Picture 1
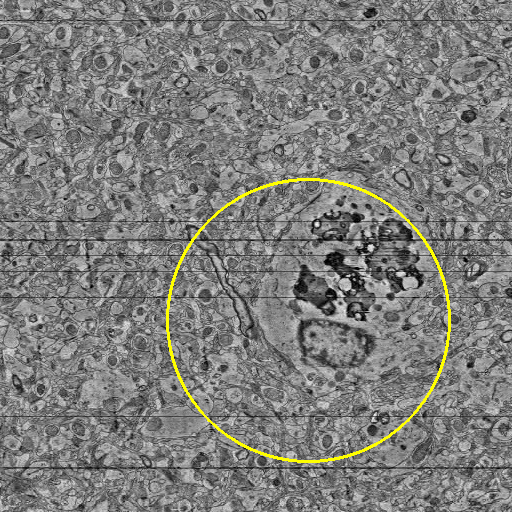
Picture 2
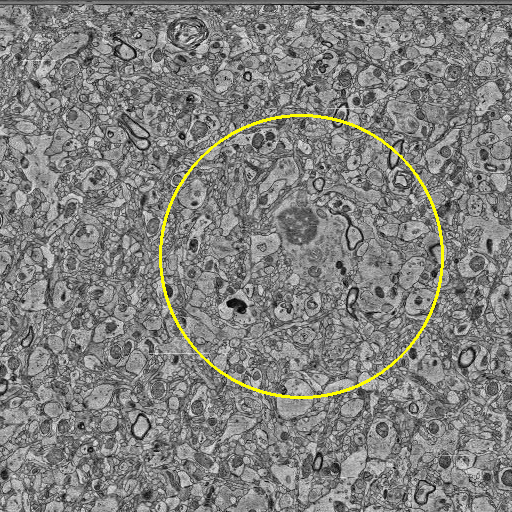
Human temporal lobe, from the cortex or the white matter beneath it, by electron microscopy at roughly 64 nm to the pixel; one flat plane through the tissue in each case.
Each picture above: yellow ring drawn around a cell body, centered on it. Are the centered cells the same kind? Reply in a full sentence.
No, the two cells are two kinds of cell.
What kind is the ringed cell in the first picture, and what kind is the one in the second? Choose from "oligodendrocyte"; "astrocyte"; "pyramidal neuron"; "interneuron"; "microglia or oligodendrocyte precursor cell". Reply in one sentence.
The first cell is an astrocyte; the second is an oligodendrocyte.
